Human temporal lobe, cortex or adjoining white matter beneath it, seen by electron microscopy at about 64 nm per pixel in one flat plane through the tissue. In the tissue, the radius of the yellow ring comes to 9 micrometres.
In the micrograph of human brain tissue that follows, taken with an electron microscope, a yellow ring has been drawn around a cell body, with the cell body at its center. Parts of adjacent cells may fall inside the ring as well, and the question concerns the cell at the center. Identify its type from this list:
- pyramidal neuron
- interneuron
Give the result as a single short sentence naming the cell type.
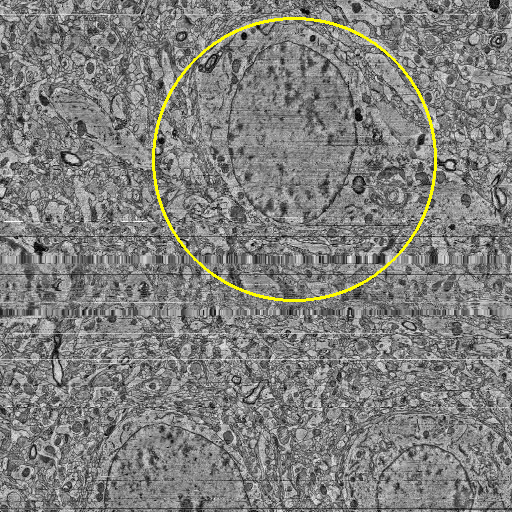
The ring is centered on a pyramidal neuron.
